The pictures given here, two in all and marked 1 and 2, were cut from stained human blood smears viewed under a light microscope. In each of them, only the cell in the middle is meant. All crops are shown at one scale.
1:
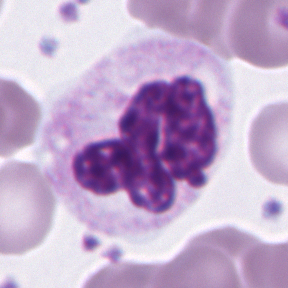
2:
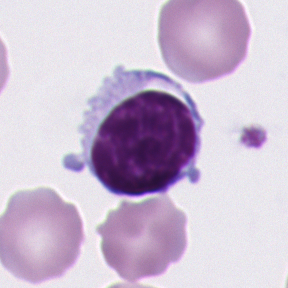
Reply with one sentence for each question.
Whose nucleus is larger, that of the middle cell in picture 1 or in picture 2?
Larger is the nucleus in picture 1, at roughly 1.5 times the area of the other.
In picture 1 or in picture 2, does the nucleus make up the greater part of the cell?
It is the cell in picture 2 that is filled more by its nucleus.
